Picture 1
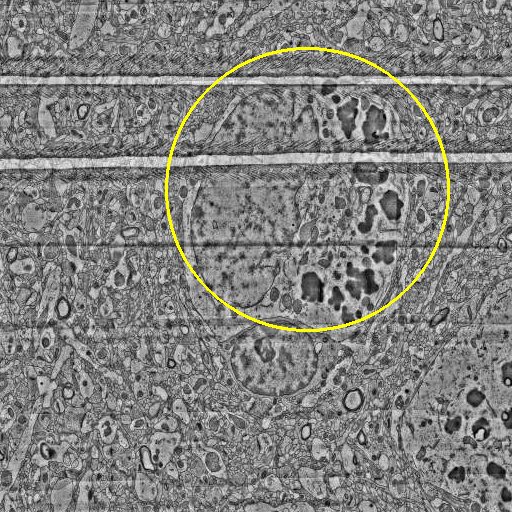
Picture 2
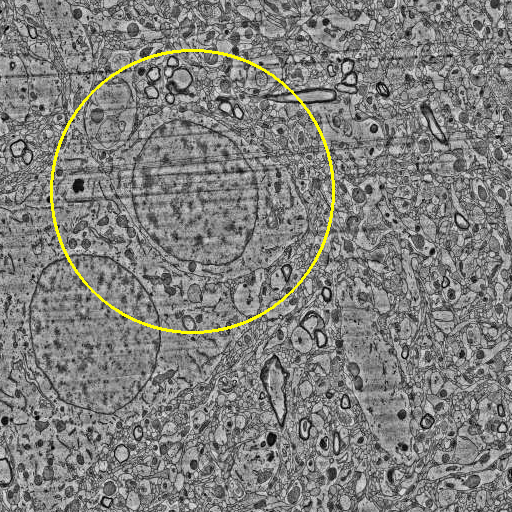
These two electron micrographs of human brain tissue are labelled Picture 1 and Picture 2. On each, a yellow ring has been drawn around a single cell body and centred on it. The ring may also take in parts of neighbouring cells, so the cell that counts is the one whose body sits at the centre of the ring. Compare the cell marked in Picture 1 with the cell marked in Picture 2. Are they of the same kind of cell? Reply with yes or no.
yes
